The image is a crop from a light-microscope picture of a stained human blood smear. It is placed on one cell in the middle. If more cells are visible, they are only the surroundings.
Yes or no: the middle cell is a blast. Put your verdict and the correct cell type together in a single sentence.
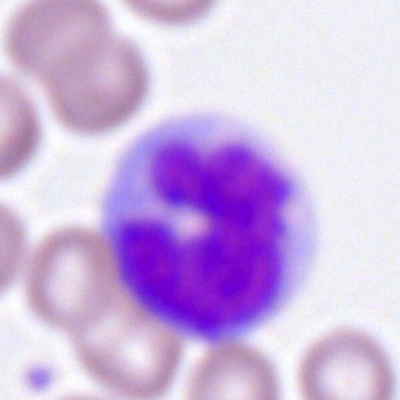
No, a blast is not what the central cell is; it is a monocyte.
